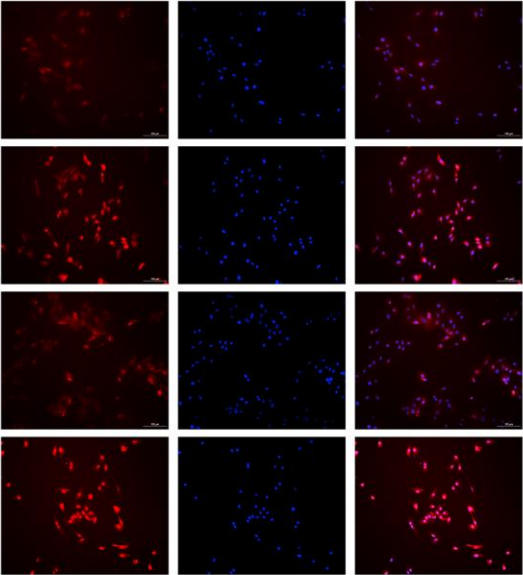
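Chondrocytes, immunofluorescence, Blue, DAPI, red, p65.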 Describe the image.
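Blue marks small, round to oval nuclei. Red fills the cell bodies, some of which are rounded and others elongated or spindle-shaped. In the merged images, red and blue overlap over many nuclei, giving them a pink to magenta tone, and in some images the red is markedly brighter and more concentrated over the cells.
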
